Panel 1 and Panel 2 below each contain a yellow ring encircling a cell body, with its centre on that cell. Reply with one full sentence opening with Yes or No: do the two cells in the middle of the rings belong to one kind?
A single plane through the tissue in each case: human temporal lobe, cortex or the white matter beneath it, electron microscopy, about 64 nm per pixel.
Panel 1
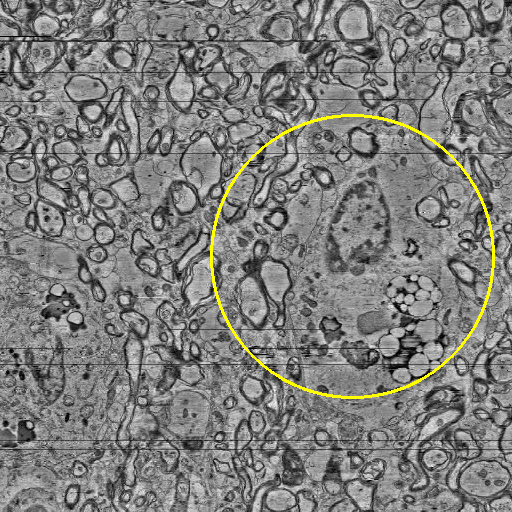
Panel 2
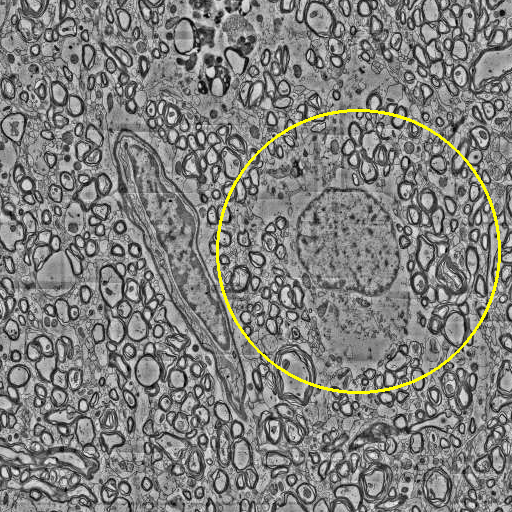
Yes, the cells at the middle of the Panel 1 ring and the Panel 2 ring are of one kind.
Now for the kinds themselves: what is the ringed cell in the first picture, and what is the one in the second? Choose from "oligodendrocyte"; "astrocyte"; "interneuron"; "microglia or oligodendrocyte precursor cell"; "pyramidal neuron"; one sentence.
In both pictures the ring is centred on an astrocyte.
